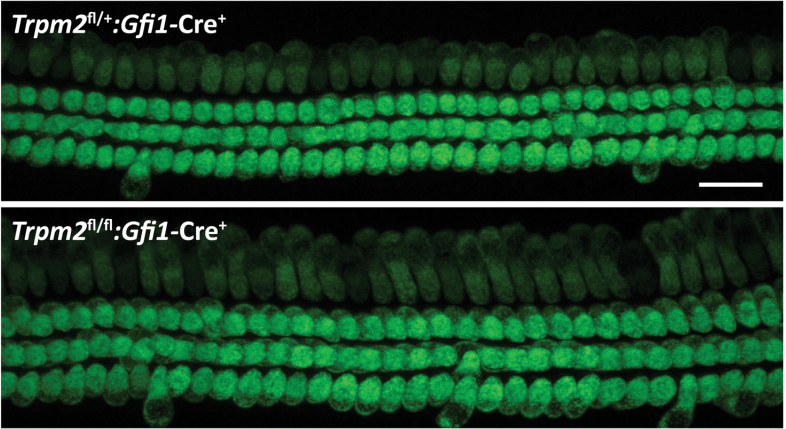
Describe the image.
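In each strip, a single upper row holds dimmer, elongated, flask-like inner hair cells. Three lower rows hold brighter, rounded to oval outer hair cells. The cells stand tightly side by side in regular rows, and the three lower rows run parallel. Each cell body shows a fine granular green fill. A few cells below the rows appear tilted or displaced.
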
